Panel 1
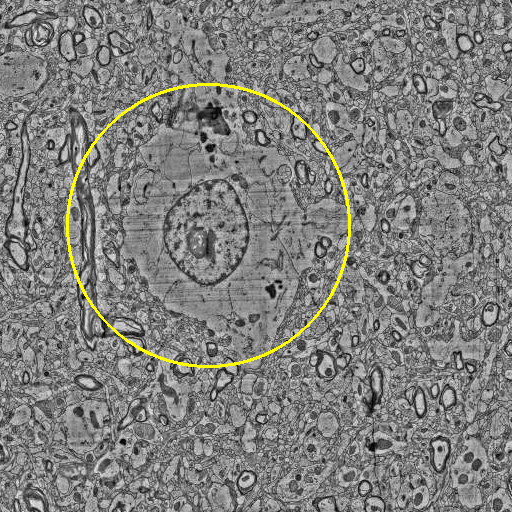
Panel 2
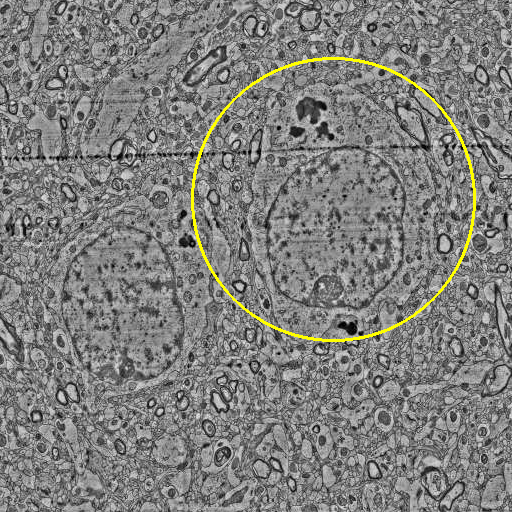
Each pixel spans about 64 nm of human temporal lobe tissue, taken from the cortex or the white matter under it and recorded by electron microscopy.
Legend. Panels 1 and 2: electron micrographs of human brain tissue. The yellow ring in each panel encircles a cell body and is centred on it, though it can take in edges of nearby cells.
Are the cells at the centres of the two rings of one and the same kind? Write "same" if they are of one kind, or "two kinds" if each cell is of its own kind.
two kinds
